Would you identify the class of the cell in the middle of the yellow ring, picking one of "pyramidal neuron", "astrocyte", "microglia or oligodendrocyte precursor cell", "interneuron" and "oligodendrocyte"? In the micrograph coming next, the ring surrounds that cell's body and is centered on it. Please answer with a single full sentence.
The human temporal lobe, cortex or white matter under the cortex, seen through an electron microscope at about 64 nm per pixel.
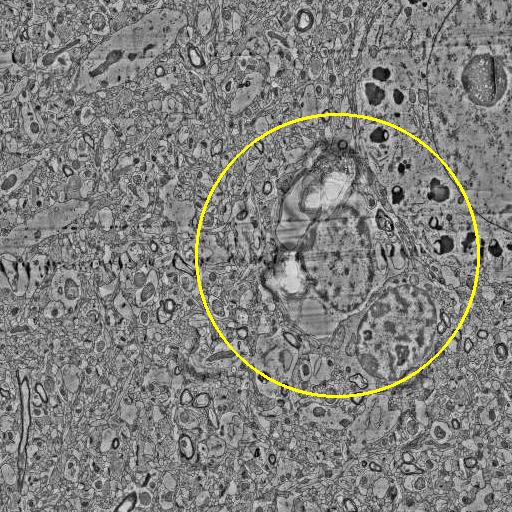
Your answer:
In the micrograph, it is an astrocyte whose body lies at the ring's center.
